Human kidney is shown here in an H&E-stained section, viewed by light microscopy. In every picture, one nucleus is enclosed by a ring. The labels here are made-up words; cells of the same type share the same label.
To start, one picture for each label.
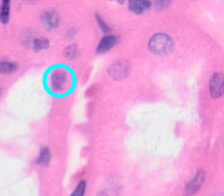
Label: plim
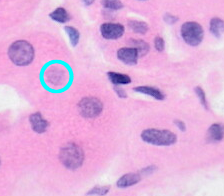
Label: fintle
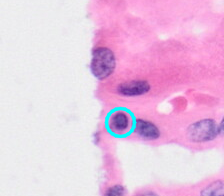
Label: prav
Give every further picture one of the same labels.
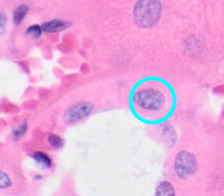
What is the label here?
plim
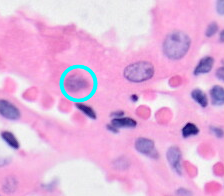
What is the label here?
fintle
